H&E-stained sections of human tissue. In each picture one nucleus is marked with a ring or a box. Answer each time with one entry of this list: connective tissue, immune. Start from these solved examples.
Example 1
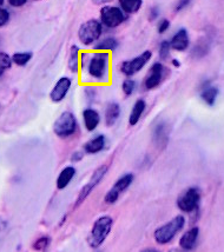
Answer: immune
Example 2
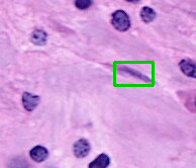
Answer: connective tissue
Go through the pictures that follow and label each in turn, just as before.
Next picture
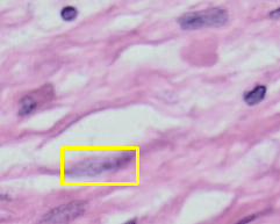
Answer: connective tissue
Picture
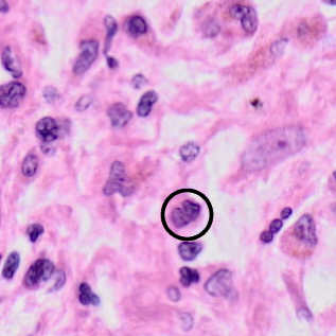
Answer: immune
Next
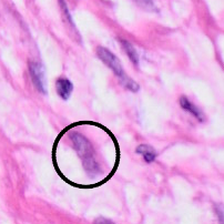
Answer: connective tissue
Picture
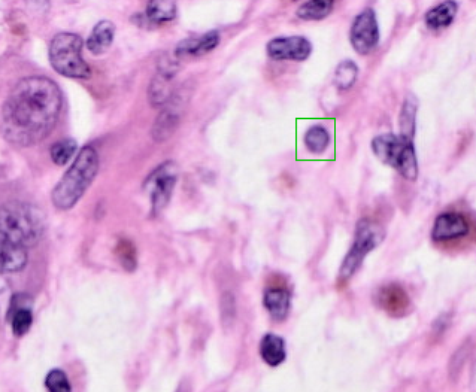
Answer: immune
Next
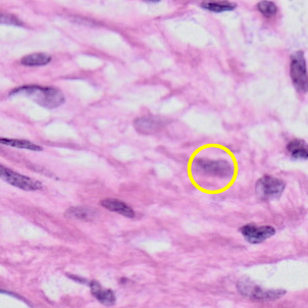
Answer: connective tissue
